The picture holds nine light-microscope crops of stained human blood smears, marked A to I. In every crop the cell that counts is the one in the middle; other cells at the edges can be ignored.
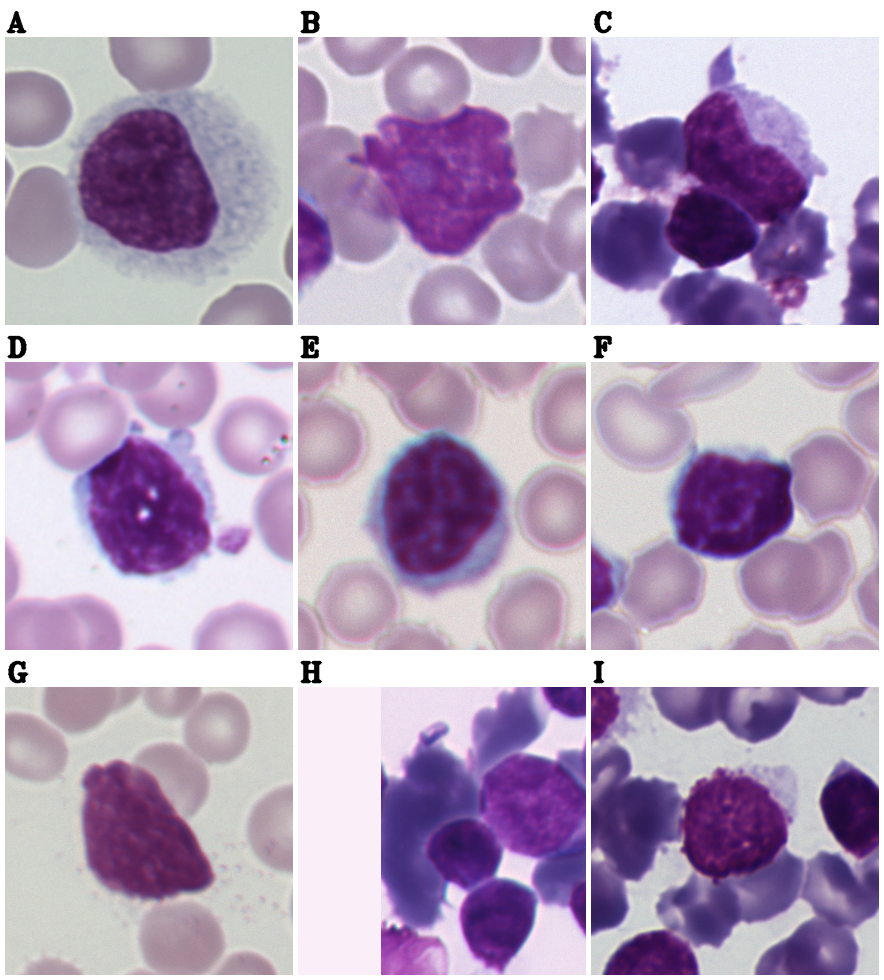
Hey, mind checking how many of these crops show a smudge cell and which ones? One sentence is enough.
As for smudge cells, these are shown in two crops, B and G.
